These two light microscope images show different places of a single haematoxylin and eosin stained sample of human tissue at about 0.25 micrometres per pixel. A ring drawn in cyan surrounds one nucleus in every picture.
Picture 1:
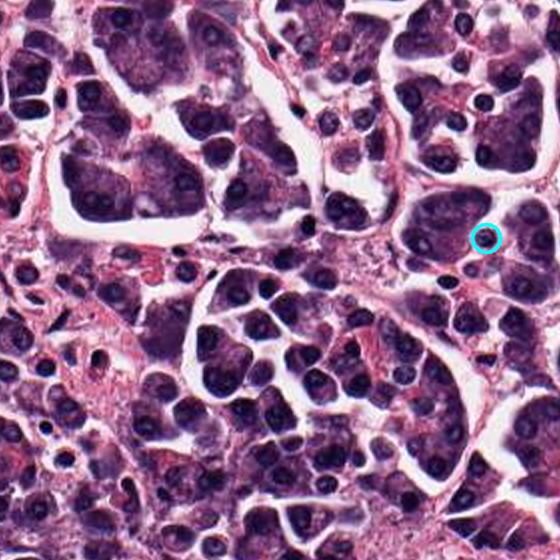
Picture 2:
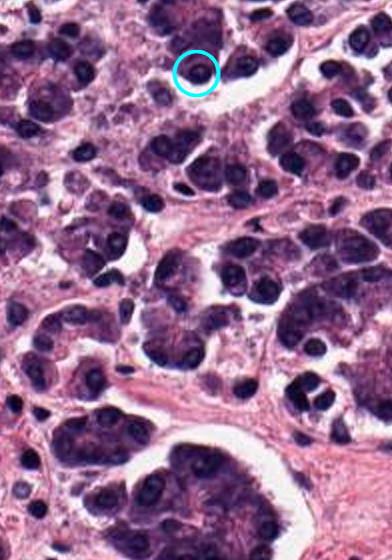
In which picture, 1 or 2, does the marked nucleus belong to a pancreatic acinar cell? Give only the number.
2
